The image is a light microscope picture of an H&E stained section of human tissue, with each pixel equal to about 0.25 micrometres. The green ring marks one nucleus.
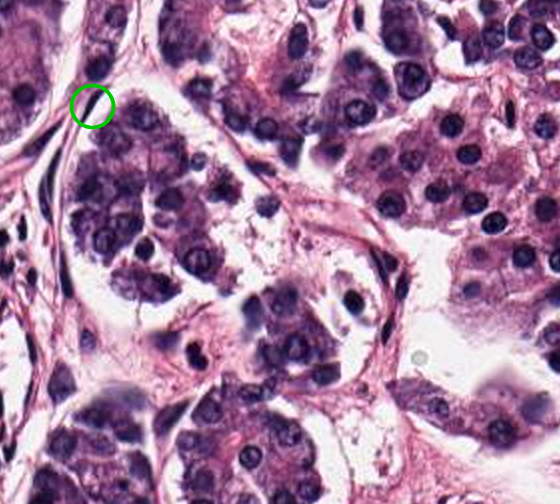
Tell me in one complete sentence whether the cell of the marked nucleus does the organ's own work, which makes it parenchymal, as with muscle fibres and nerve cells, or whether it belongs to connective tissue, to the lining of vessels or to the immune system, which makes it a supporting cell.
It is to a supporting cell that the marked nucleus is assigned.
